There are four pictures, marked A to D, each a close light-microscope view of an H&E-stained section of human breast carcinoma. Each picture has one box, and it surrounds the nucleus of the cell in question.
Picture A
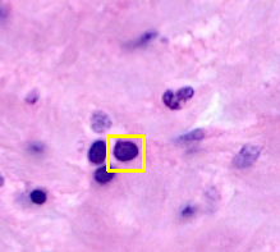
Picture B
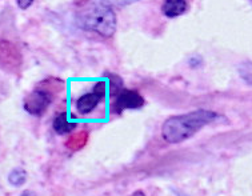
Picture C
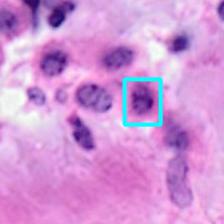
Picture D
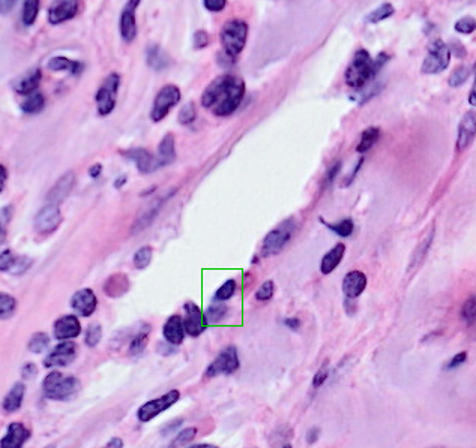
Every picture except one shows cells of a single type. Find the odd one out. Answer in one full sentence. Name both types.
The others show lymphocytes, but picture C shows a mast cell.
